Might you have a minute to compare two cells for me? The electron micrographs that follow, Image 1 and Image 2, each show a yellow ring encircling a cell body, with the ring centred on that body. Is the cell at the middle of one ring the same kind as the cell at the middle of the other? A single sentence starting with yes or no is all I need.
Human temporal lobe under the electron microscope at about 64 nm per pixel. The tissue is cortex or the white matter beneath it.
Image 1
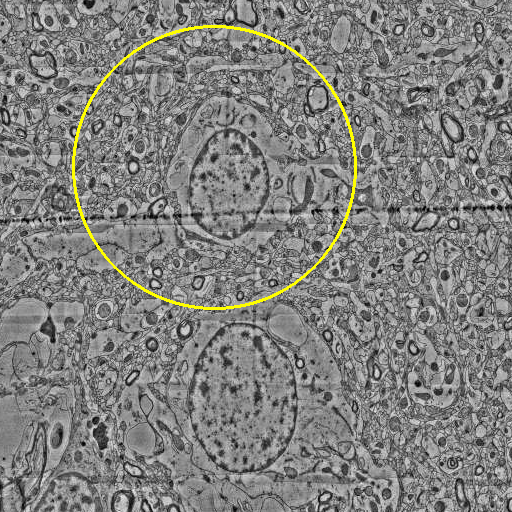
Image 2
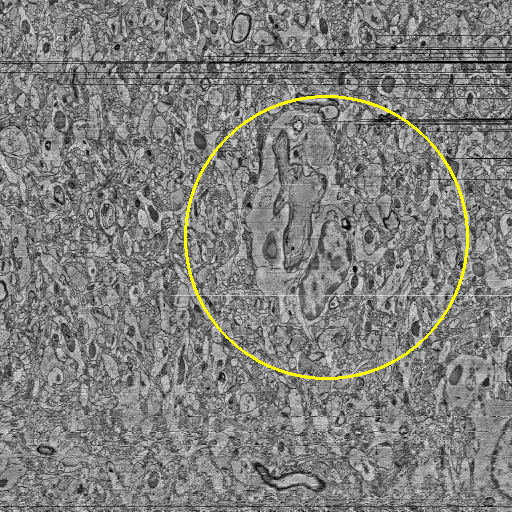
No, the cells in the middle of the two rings are of two separate kinds.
